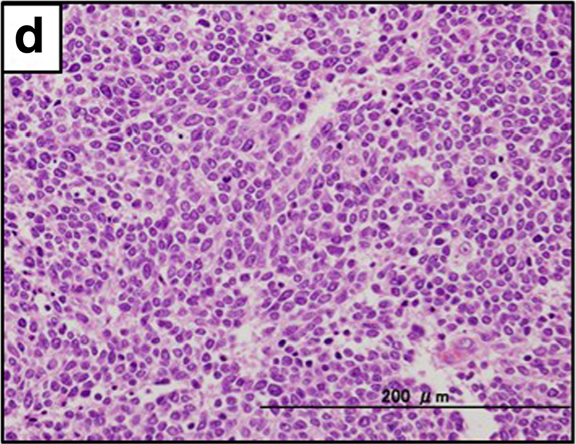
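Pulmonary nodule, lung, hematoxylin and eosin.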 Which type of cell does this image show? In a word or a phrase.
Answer: small tumor cells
